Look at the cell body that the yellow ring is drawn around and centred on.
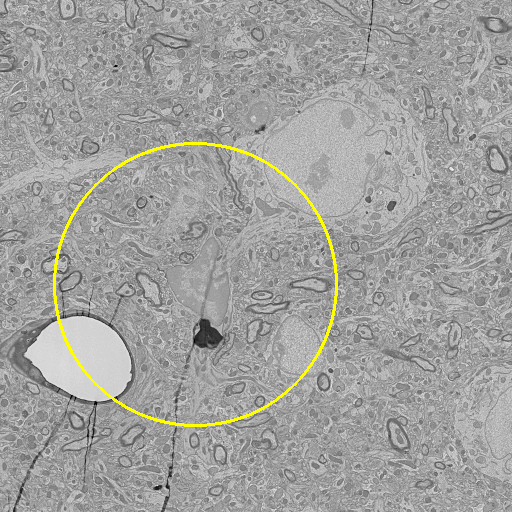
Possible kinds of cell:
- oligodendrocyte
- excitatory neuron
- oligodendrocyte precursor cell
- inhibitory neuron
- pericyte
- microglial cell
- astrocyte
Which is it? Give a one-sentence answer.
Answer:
The centred cell body is that of a microglial cell.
